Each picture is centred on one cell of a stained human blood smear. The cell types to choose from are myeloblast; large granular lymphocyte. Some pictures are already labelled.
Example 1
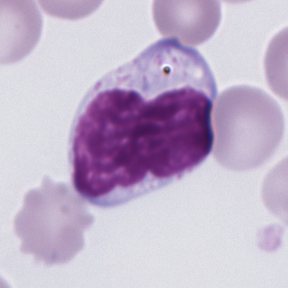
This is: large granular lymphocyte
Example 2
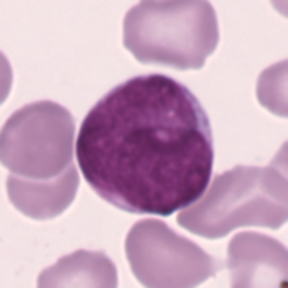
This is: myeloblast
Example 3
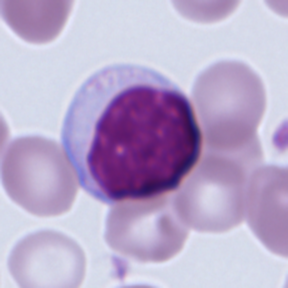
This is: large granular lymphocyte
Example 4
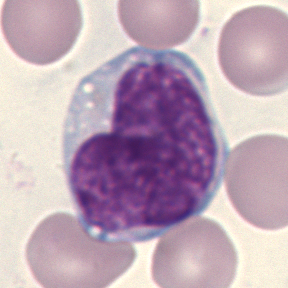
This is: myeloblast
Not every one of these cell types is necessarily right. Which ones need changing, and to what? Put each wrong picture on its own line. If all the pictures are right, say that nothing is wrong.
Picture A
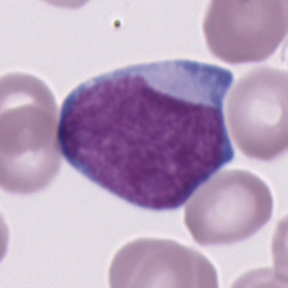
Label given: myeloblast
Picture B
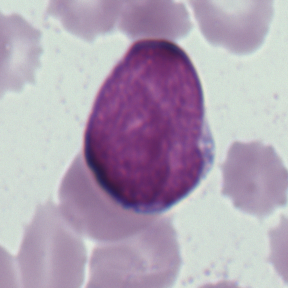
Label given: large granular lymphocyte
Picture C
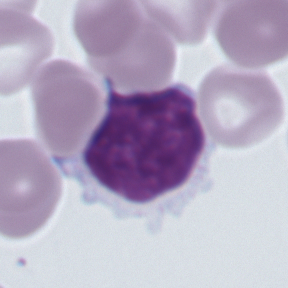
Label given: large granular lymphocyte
B: not large granular lymphocyte but myeloblast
